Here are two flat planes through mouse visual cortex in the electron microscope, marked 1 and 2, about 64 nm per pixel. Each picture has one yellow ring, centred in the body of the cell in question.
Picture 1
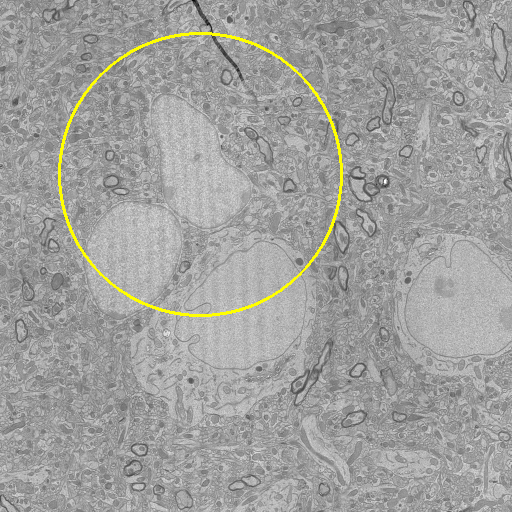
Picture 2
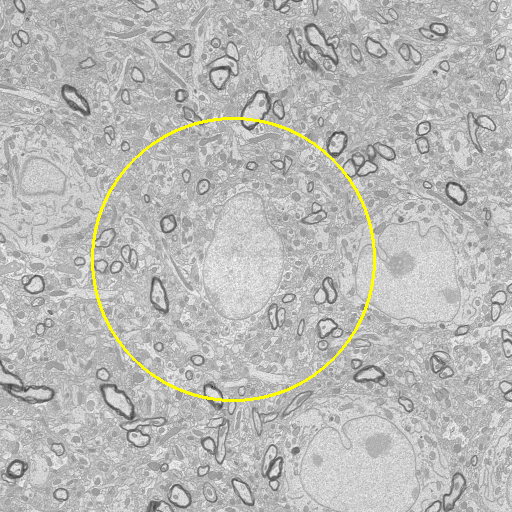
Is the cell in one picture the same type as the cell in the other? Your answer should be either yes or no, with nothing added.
yes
